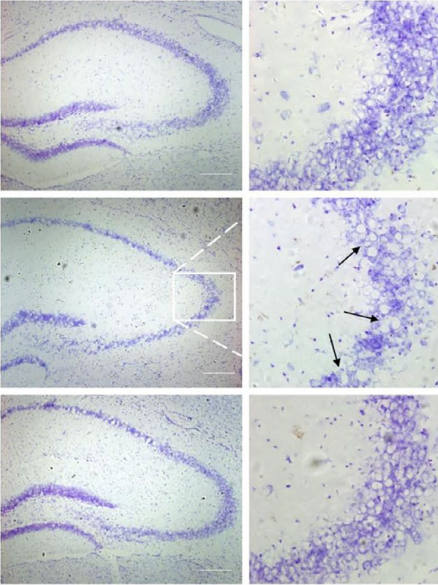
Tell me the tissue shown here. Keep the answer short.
hippocampus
